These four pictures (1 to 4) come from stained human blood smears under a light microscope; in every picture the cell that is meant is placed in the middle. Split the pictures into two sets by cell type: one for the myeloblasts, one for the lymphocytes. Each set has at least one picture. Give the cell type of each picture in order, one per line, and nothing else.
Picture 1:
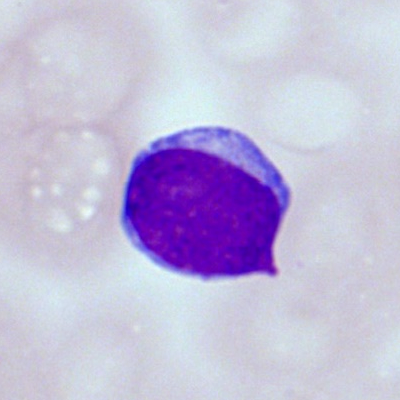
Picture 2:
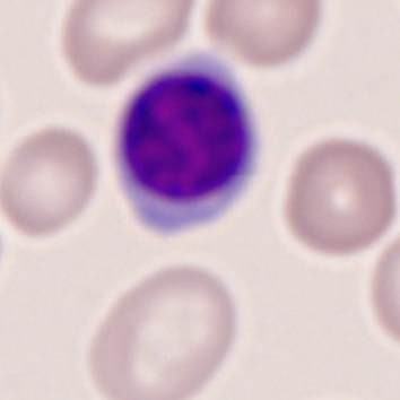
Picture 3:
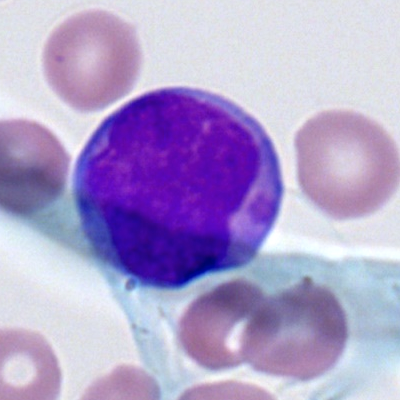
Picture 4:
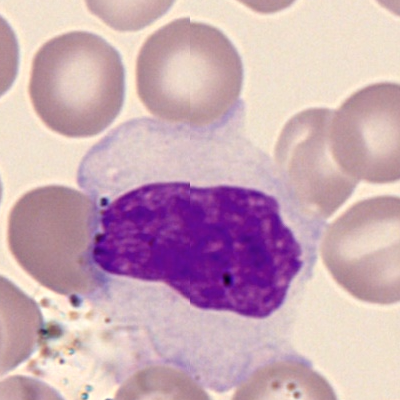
myeloblast
lymphocyte
myeloblast
lymphocyte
